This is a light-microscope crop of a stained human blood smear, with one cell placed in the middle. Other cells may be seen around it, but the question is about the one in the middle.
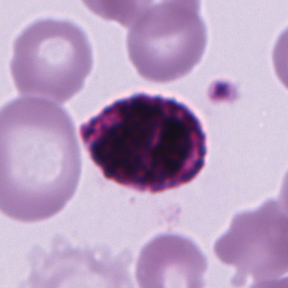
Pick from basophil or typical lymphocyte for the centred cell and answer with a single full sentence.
Centrally within this crop lies a basophil.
